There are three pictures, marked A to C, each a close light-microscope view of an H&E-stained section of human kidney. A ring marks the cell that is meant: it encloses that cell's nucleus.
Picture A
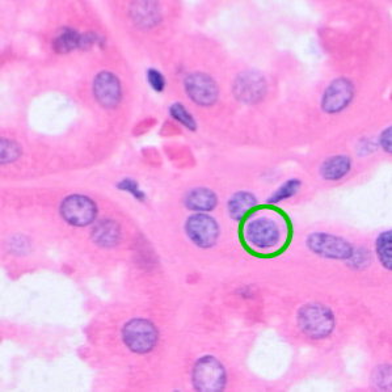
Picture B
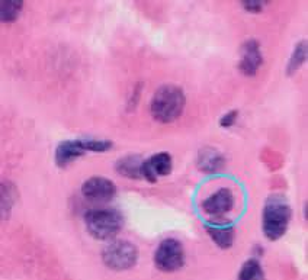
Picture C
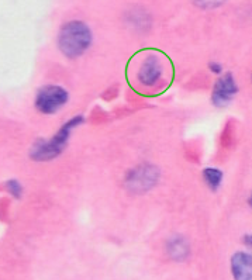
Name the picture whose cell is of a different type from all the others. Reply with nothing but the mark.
C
